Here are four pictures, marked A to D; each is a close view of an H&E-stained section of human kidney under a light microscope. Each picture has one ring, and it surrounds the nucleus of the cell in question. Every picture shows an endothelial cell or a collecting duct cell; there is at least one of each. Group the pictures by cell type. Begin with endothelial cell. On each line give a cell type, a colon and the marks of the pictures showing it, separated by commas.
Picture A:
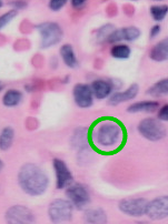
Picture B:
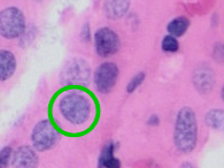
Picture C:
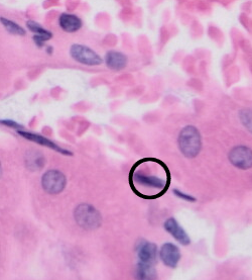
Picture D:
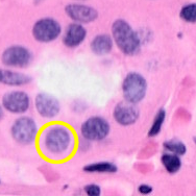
endothelial cell: C
collecting duct cell: A, B, D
